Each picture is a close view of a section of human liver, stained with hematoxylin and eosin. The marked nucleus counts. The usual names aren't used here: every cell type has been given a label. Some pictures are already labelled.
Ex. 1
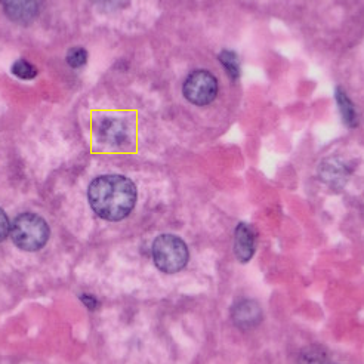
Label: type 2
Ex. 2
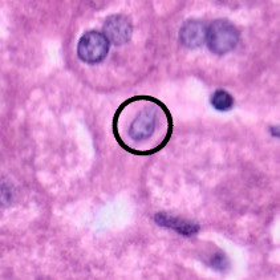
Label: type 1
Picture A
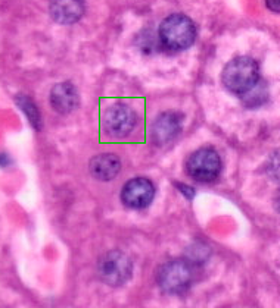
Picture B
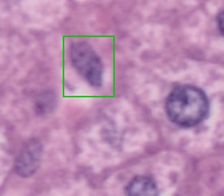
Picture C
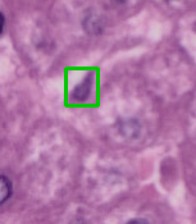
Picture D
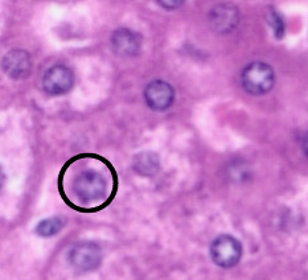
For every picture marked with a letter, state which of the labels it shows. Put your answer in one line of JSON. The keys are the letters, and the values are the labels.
{"A": "type 2", "B": "type 1", "C": "type 1", "D": "type 2"}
